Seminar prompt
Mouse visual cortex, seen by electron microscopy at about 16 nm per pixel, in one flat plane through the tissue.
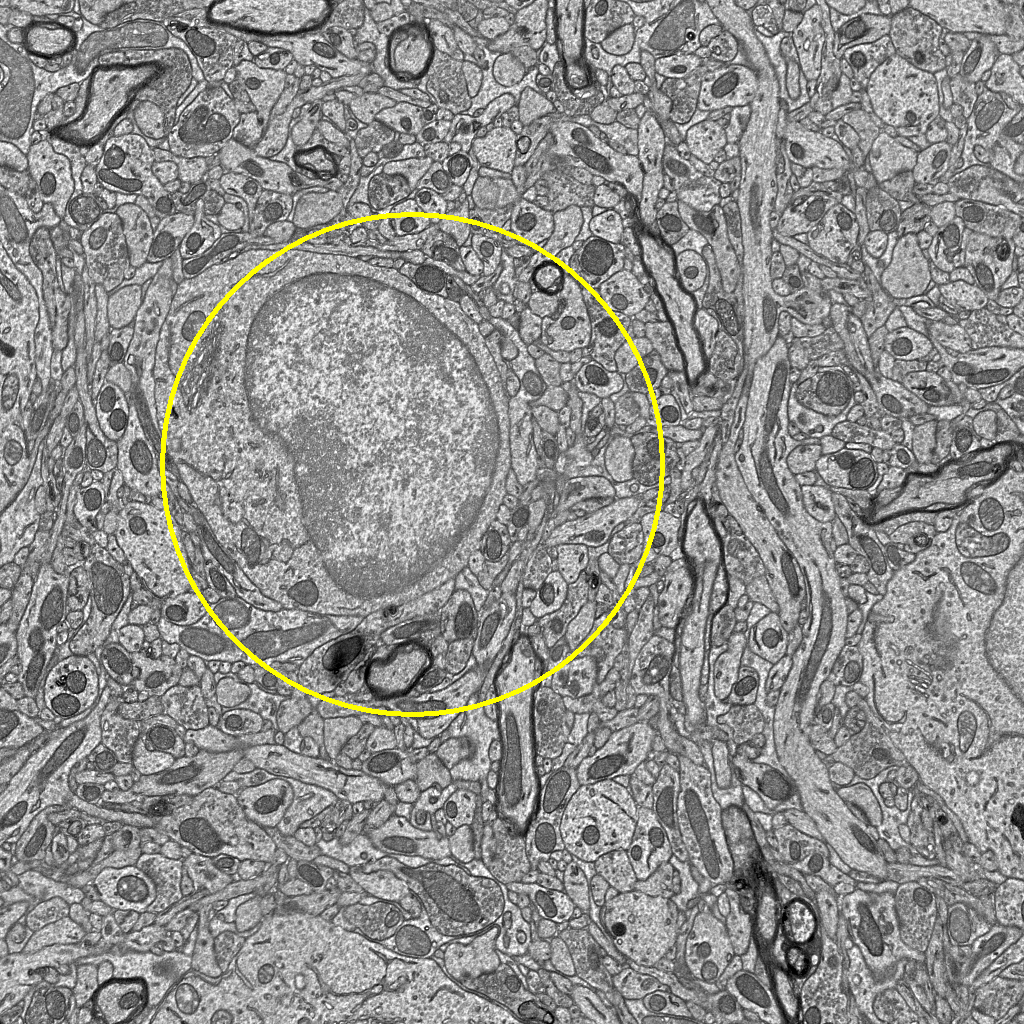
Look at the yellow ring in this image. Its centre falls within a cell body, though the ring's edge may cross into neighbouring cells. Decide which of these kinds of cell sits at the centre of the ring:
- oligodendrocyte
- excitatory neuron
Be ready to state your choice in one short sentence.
The kind of cell at the ring's centre is an oligodendrocyte.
